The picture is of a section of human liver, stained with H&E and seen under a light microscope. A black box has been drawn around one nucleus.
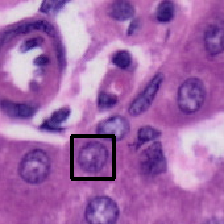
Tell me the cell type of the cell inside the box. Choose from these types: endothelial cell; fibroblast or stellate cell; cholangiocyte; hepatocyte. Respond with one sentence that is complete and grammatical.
With respect to cell type, the cell inside the box is a cholangiocyte.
